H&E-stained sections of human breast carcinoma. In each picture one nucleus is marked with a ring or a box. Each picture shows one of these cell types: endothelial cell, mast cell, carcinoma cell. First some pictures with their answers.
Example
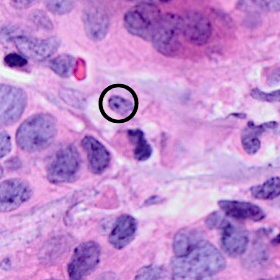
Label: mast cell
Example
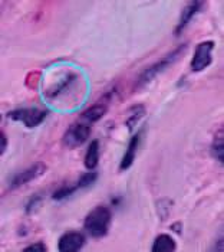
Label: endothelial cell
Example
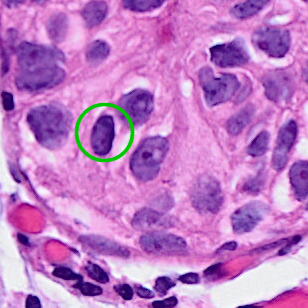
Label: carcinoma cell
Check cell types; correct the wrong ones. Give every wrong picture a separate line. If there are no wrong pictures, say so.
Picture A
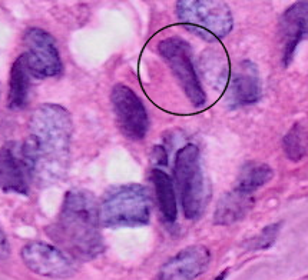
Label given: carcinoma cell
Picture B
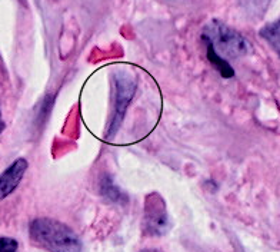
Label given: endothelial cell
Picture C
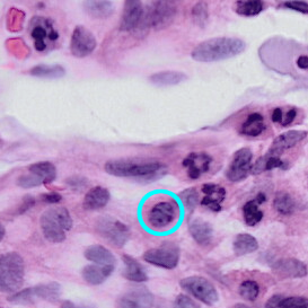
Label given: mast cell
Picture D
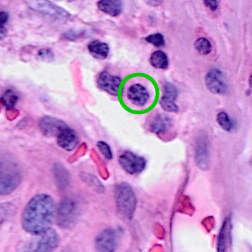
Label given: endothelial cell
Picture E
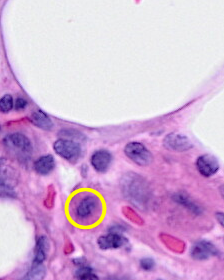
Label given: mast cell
D: not endothelial cell but mast cell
